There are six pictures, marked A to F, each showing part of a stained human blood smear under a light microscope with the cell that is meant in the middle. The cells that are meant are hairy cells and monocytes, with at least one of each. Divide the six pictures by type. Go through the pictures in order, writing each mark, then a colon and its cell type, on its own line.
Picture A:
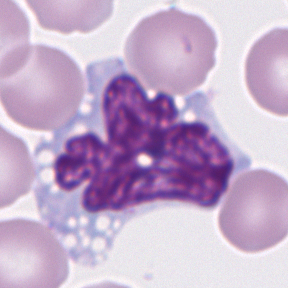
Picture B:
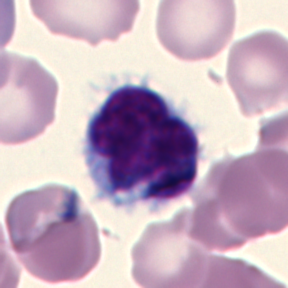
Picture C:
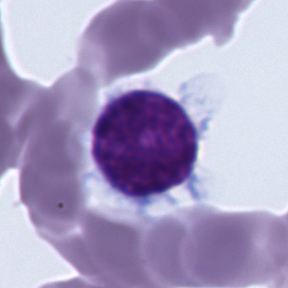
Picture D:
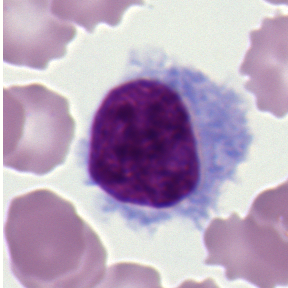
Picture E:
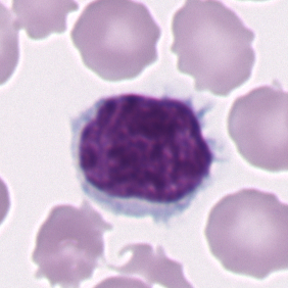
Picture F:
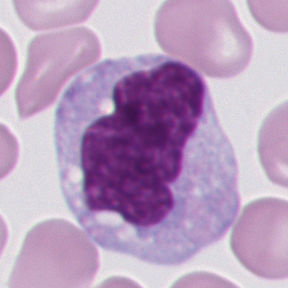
A: monocyte
B: hairy cell
C: hairy cell
D: hairy cell
E: hairy cell
F: monocyte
